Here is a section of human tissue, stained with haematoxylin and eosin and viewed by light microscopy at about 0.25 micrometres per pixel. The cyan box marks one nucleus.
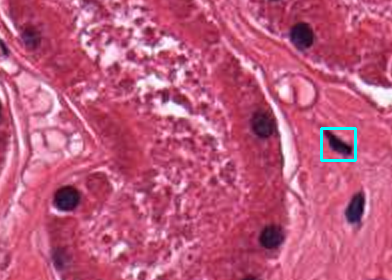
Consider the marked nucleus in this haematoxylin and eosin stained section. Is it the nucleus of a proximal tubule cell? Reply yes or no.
no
